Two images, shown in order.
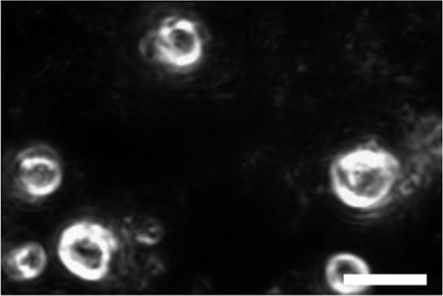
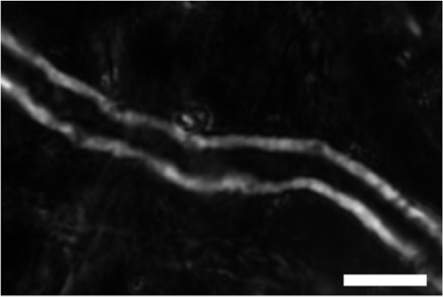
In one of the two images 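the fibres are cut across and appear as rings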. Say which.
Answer: the first image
